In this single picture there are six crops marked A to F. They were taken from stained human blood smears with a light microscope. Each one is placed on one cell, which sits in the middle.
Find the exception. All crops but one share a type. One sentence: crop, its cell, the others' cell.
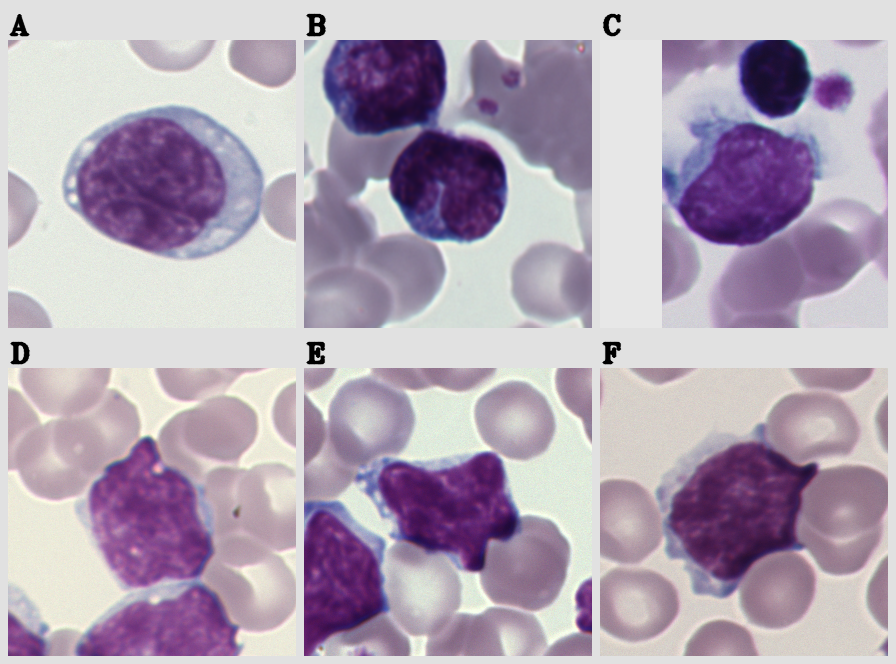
The exception in this group is crop A, a blast, and the others are all lymphocytes.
